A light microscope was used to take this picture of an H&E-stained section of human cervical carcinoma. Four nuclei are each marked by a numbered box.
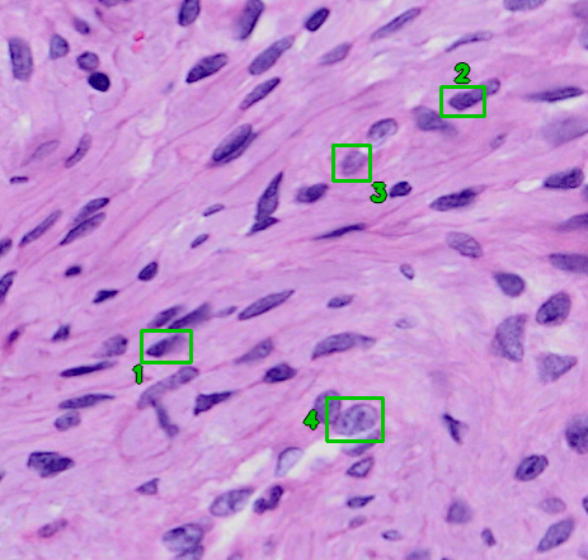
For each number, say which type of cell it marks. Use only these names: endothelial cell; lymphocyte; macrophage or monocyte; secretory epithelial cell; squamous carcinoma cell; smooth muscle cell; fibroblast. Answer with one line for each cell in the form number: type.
1: fibroblast
2: fibroblast
3: endothelial cell
4: endothelial cell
